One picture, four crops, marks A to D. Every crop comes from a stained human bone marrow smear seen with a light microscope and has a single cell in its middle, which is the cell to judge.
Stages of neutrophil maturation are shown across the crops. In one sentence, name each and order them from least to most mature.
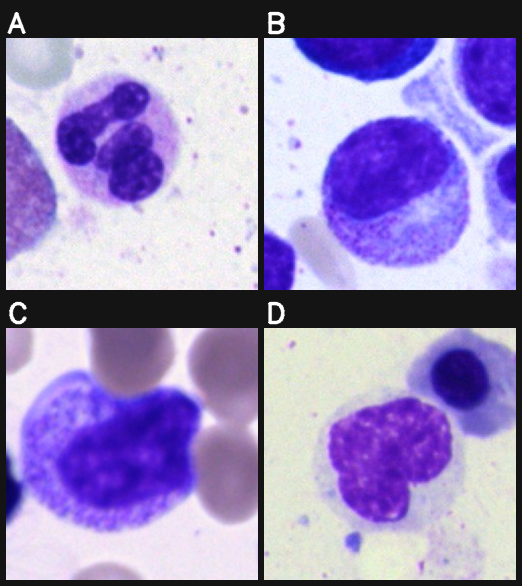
The maturation sequence, earliest to latest, reads crop C (a promyelocyte), crop B (a myelocyte), crop D (a metamyelocyte) and crop A (a segmented neutrophil).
